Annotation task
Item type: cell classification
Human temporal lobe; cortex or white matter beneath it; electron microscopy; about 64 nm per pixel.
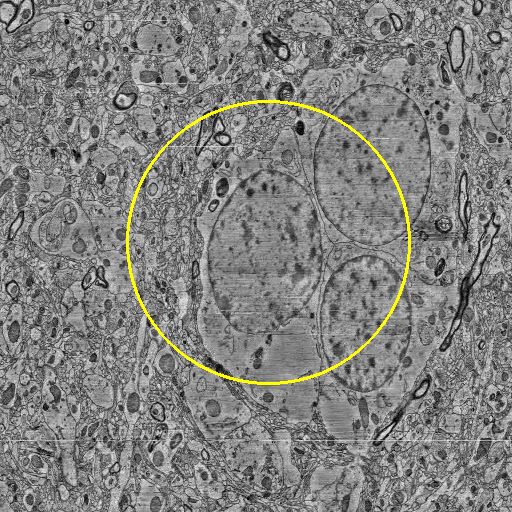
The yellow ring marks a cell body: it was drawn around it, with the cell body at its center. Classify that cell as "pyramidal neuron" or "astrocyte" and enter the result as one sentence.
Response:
The ring's center falls on an astrocyte.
